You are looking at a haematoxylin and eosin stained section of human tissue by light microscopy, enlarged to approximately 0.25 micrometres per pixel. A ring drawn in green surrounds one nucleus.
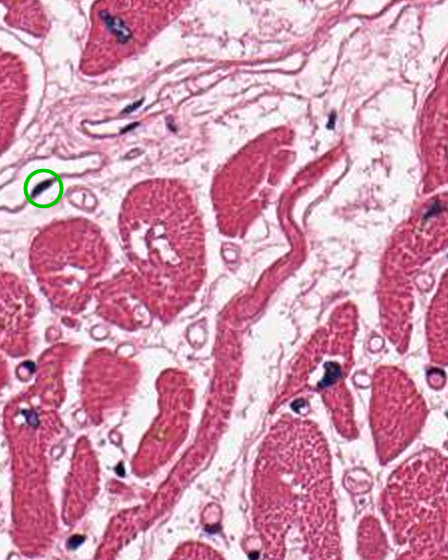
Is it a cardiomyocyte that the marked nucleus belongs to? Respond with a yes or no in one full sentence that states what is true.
No, a supporting cell, not a cardiomyocyte, carries the marked nucleus.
